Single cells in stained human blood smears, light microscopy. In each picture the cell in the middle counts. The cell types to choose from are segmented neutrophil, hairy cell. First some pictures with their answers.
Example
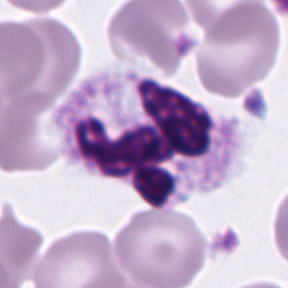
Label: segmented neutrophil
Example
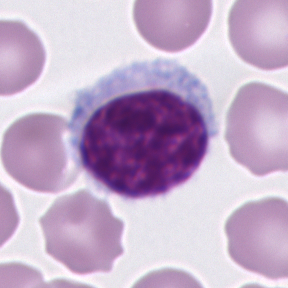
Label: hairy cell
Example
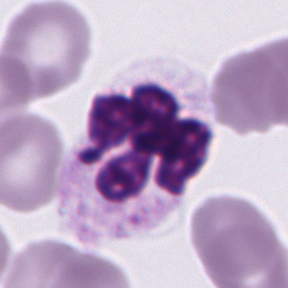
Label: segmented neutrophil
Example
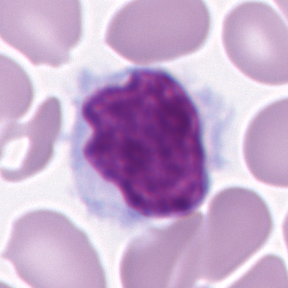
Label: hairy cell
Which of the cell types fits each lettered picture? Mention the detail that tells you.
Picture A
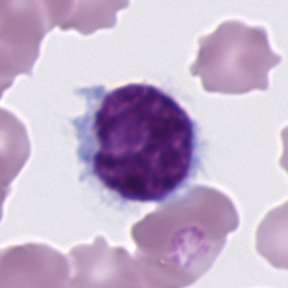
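Answer: hairy cell. The cytoplasm is scant and pale blue.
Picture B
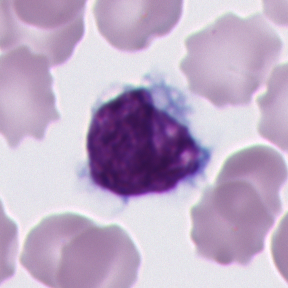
Answer: hairy cell. The cytoplasm forms only a narrow rim around the nucleus.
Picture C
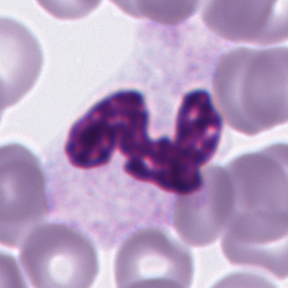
Answer: segmented neutrophil. The cytoplasm is plentiful and pale pinkish-lilac.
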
